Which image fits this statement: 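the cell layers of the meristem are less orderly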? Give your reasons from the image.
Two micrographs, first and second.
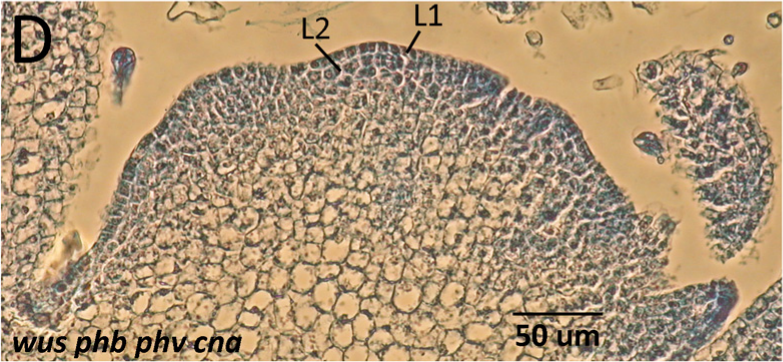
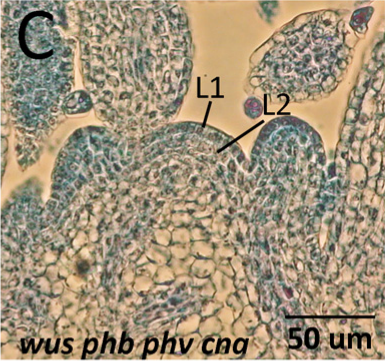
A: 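The first image. First image: a broad, large dome whose outer cell rows are irregular below the surface. Second image: a small dome with regular outer rows of flattened cells.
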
